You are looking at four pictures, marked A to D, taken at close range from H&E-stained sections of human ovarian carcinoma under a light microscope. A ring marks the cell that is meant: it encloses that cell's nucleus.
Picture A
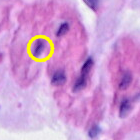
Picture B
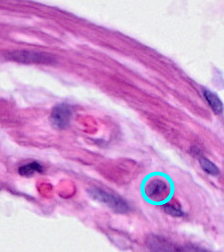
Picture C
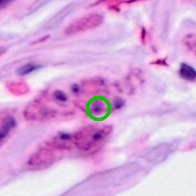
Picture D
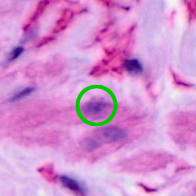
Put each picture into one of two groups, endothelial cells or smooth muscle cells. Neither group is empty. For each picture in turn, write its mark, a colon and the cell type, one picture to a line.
A: smooth muscle cell
B: endothelial cell
C: smooth muscle cell
D: smooth muscle cell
